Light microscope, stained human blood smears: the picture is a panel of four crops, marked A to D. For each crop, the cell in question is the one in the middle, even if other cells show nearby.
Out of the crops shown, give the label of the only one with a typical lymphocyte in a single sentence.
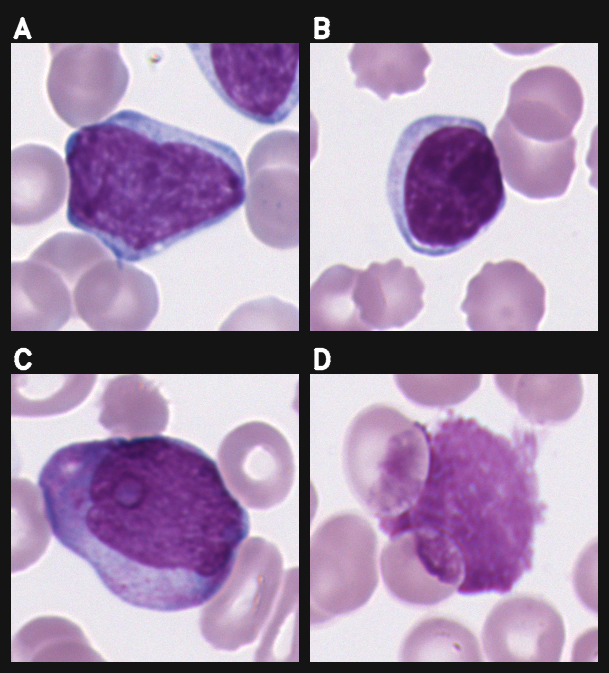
Crop B is the crop that shows a typical lymphocyte in its middle.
